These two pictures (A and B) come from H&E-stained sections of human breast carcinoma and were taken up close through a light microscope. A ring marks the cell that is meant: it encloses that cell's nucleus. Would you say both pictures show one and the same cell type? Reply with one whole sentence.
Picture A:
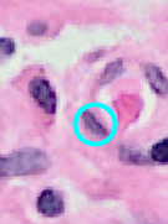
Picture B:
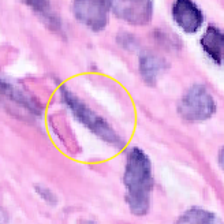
Yes, both are endothelial cells.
